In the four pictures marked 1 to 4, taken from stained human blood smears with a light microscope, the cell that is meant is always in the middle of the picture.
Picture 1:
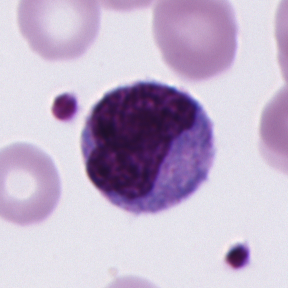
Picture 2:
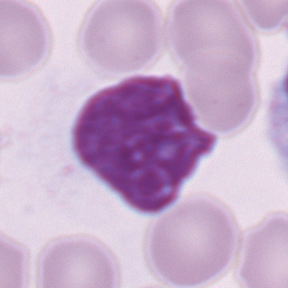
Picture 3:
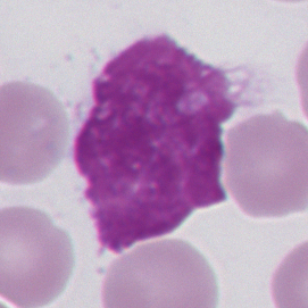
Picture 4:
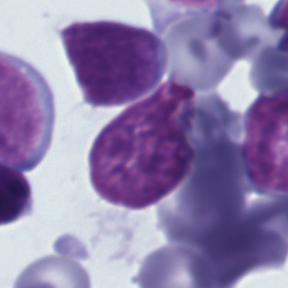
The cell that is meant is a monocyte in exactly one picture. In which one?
1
